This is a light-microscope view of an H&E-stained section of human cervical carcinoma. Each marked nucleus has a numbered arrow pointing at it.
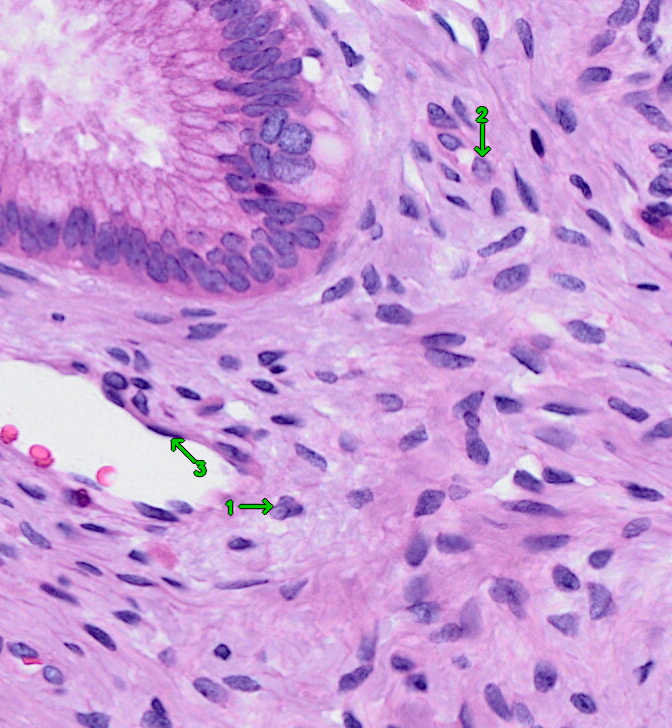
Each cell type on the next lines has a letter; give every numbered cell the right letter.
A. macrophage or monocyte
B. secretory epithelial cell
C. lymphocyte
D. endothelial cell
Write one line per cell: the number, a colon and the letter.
1: A
2: D
3: D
